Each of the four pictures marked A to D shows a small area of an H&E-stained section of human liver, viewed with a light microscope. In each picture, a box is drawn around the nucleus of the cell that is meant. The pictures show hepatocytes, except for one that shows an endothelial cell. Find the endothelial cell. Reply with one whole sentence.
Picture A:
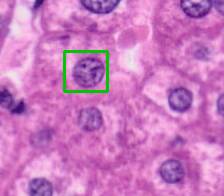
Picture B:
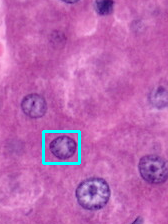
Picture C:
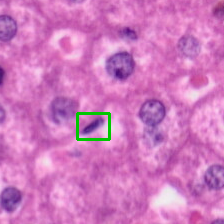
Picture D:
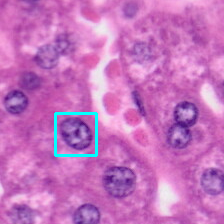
The picture with the endothelial cell is C.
